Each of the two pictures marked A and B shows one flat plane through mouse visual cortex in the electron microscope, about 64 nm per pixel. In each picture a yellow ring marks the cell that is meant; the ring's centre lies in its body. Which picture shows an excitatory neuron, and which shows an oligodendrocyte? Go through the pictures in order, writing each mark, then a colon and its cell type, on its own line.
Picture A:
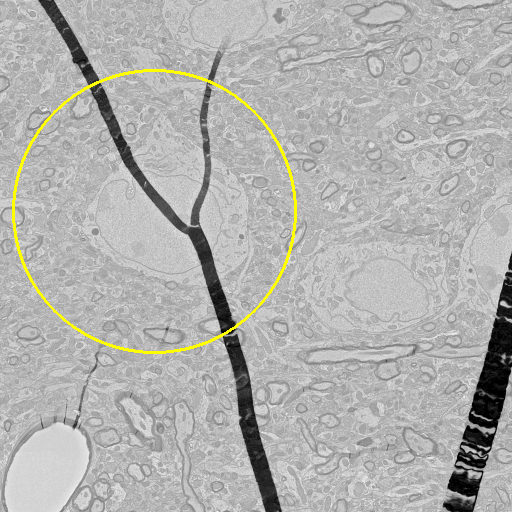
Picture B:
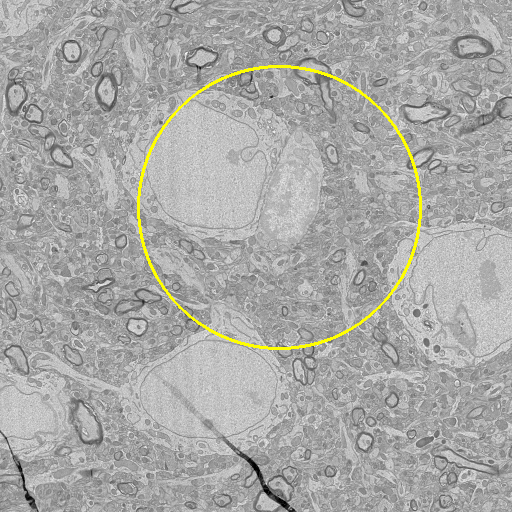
A: excitatory neuron
B: oligodendrocyte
